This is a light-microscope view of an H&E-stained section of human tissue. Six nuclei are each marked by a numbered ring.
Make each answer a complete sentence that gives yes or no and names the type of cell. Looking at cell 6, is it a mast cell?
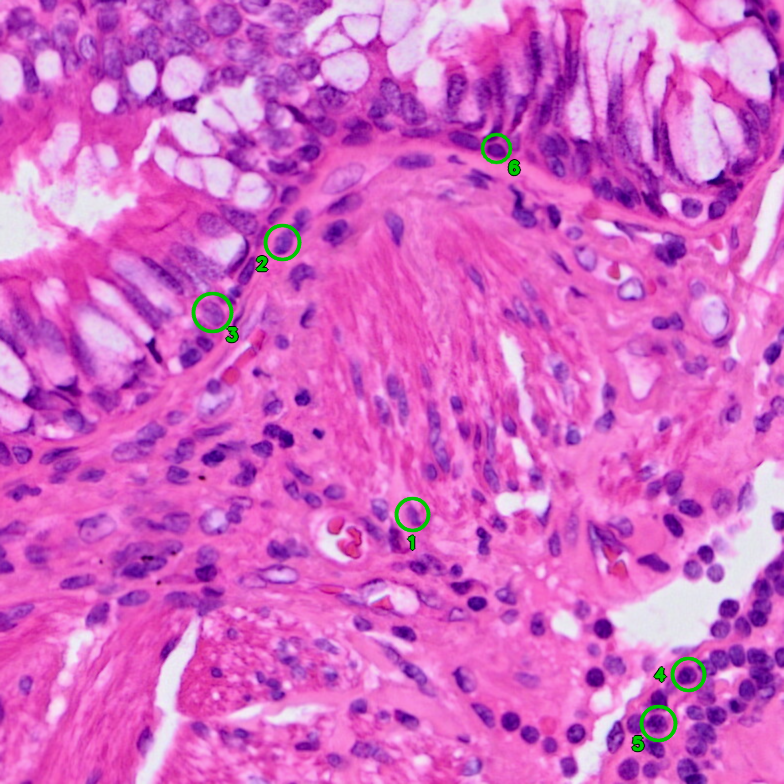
No, cell 6 counts as a ciliated epithelial cell rather than as a mast cell.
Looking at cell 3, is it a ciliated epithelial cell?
Yes, looking at number 3, that cell is a ciliated epithelial cell.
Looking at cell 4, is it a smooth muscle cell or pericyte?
No, cell 4 is not a smooth muscle cell or pericyte; a lymphocyte is correct.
